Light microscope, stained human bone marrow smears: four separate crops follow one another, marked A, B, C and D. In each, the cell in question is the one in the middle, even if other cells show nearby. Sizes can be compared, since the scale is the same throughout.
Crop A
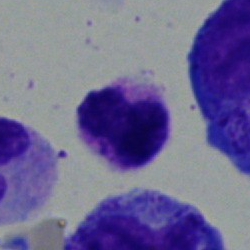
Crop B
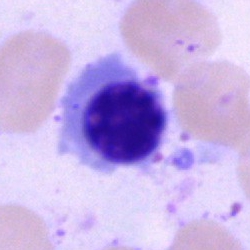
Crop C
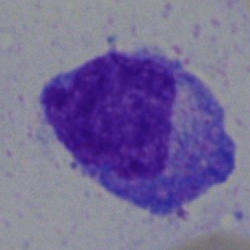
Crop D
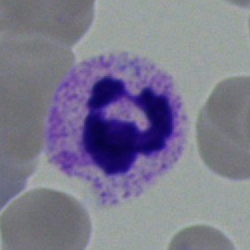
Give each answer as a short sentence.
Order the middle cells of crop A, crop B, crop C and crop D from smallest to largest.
Going up, they run A, B, D, C.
